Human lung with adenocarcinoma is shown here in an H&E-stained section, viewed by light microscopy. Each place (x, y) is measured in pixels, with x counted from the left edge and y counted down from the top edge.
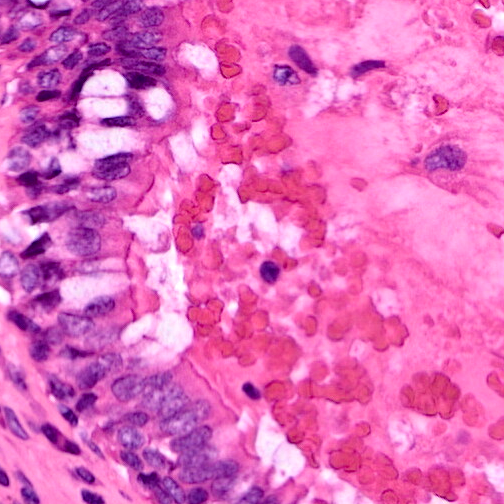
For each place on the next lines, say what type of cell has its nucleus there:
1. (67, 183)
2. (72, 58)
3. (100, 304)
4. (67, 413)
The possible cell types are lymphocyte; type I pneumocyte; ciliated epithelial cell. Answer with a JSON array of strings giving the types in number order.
["ciliated epithelial cell", "ciliated epithelial cell", "ciliated epithelial cell", "lymphocyte"]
